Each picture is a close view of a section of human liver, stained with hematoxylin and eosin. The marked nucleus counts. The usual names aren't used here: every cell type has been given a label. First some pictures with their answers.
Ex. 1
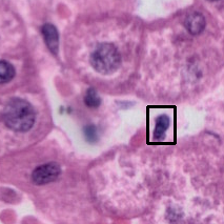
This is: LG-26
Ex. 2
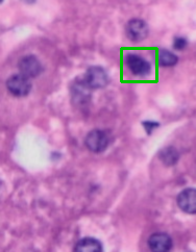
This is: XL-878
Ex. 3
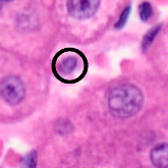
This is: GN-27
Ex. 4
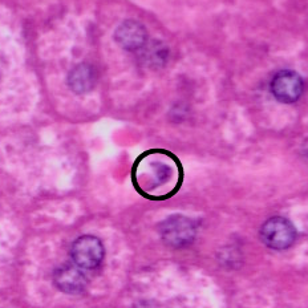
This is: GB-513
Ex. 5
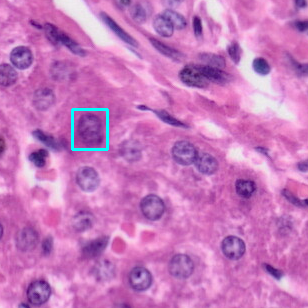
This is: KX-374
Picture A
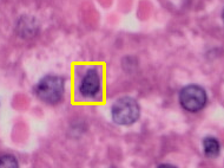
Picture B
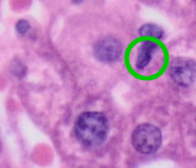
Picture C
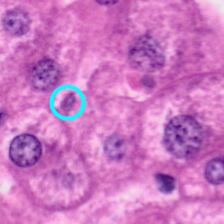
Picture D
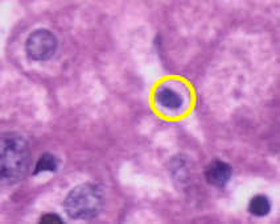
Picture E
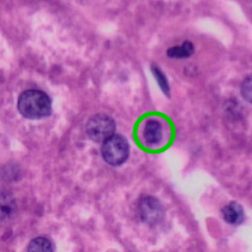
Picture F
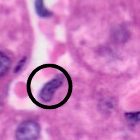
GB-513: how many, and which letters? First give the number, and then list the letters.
0, none of them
